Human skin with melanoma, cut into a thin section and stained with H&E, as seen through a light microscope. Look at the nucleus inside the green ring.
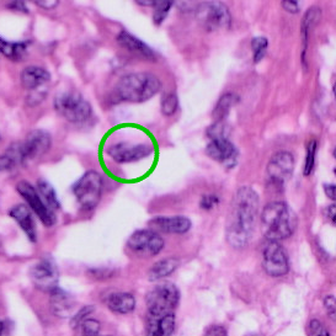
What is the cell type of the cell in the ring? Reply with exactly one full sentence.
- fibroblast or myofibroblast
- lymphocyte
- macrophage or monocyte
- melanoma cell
With respect to cell type, the cell in the ring is a melanoma cell.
